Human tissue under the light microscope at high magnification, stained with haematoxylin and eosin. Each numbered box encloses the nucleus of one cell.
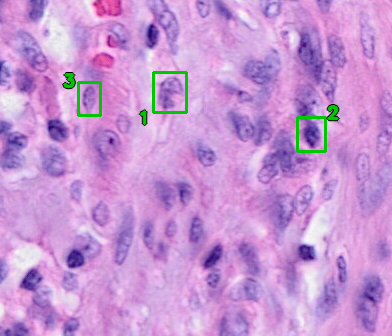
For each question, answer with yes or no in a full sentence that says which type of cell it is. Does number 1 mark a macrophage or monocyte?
Yes, looking at number 1, that cell is a macrophage or monocyte.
